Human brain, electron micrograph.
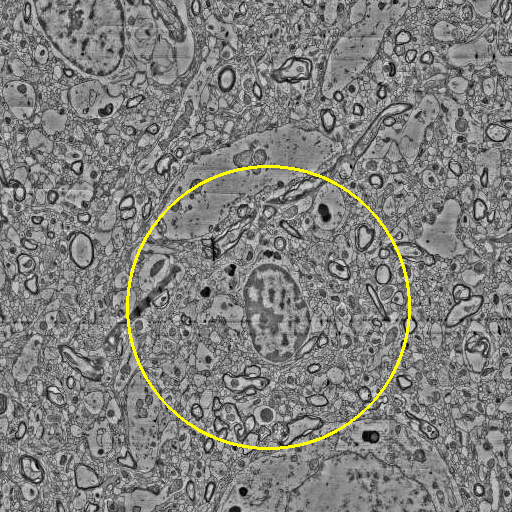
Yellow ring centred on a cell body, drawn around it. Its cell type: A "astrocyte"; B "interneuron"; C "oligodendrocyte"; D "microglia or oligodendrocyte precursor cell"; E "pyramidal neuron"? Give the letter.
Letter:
D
